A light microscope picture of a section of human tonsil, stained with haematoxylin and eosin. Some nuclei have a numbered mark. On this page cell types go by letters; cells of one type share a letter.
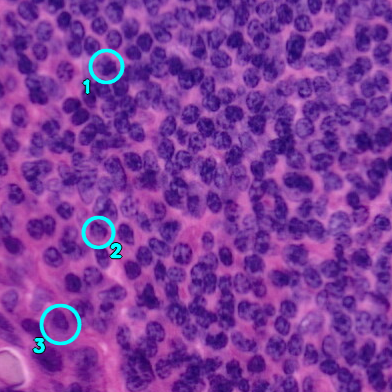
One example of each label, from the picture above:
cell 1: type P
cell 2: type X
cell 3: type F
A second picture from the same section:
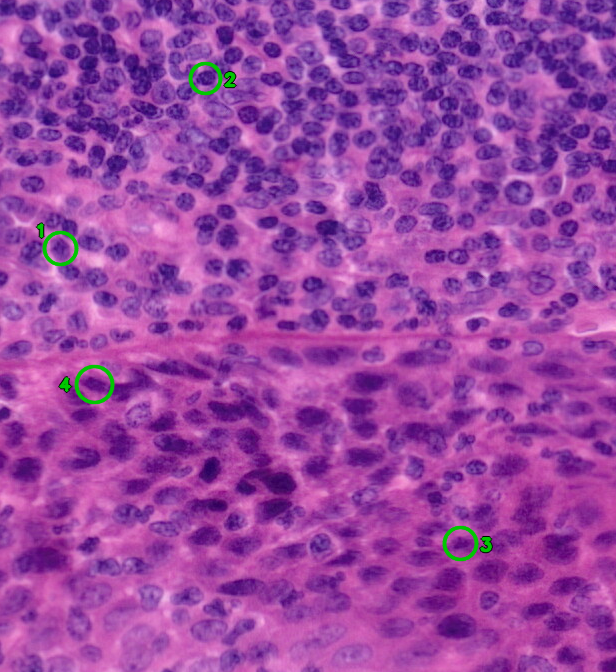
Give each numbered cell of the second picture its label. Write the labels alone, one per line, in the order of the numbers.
type X
type P
type F
type F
